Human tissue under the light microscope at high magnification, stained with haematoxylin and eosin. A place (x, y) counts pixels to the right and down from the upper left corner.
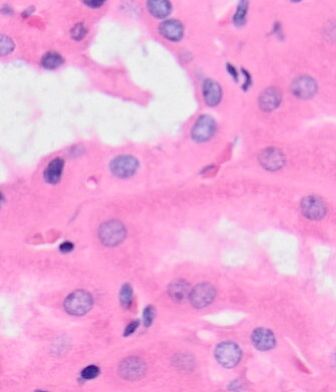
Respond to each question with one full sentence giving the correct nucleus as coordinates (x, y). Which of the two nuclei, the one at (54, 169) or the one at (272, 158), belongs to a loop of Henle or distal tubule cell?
Out of the two, it is the nucleus at (54, 169) that belongs to a loop of Henle or distal tubule cell.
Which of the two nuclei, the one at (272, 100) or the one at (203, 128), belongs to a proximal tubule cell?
Out of the two, it is the nucleus at (272, 100) that belongs to a proximal tubule cell.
